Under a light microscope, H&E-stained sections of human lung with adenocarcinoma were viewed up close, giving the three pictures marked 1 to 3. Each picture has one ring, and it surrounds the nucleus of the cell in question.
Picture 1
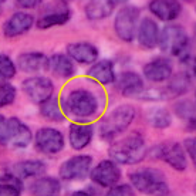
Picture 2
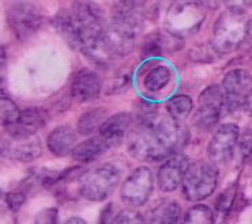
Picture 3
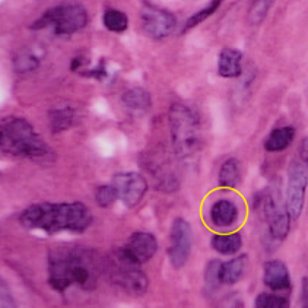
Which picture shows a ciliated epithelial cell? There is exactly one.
2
